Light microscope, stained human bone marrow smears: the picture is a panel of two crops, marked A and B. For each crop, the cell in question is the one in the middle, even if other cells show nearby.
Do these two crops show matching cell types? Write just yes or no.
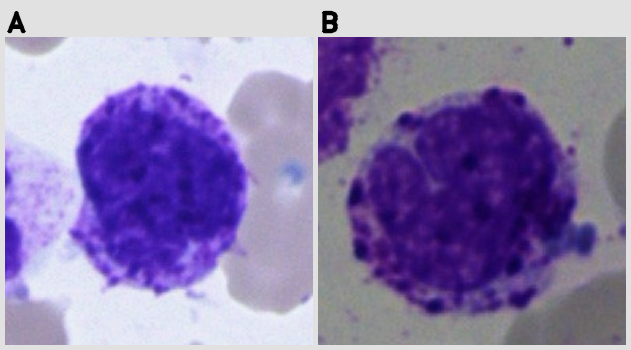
yes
